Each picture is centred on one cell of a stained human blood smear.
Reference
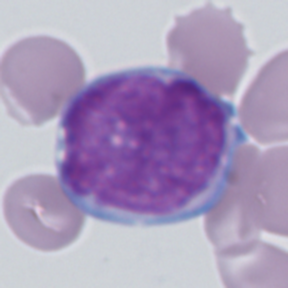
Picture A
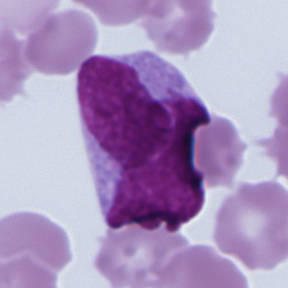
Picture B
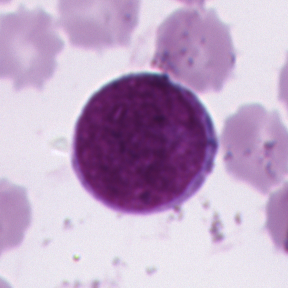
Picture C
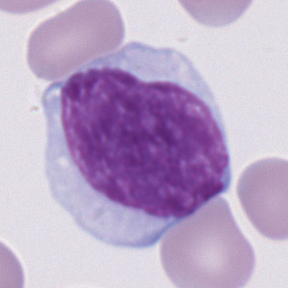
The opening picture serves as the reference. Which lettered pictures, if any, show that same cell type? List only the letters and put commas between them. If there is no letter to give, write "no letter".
A, B, C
